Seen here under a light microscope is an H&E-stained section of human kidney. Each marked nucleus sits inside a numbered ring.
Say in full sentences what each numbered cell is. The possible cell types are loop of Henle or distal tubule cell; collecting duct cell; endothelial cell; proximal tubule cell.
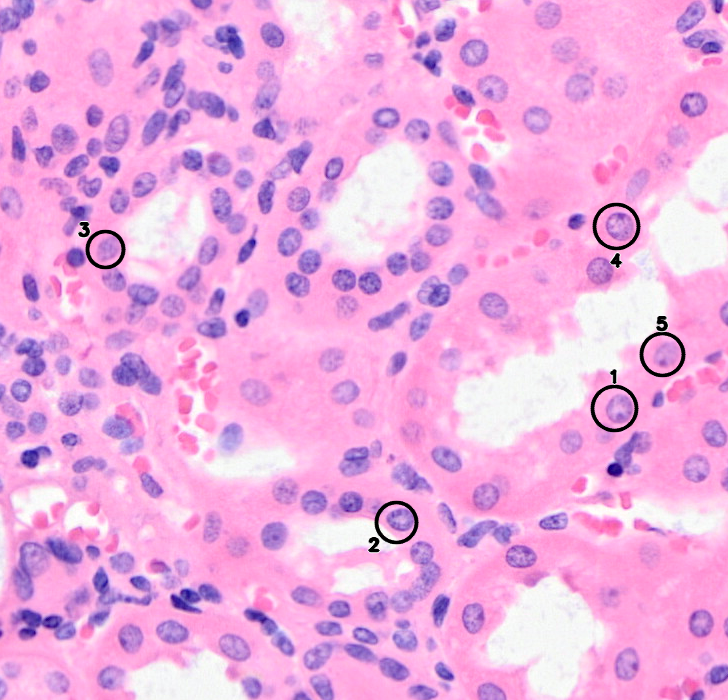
Cells 1, 4 and 5 are proximal tubule cells. Cells 2 and 3 are collecting duct cells.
